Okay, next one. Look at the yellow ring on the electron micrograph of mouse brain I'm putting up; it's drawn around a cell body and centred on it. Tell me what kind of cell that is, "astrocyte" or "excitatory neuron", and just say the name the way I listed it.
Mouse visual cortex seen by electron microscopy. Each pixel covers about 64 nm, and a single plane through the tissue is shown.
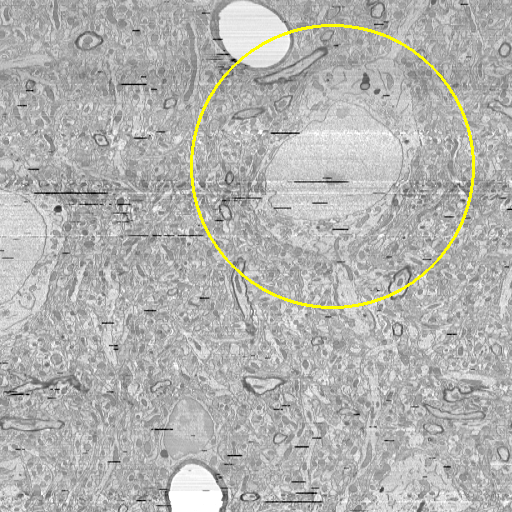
excitatory neuron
